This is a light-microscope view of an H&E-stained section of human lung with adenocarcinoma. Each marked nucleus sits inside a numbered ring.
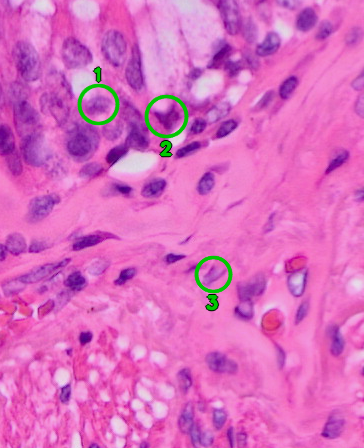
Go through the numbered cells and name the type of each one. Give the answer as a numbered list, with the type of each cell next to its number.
1. ciliated epithelial cell
2. ciliated epithelial cell
3. fibroblast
